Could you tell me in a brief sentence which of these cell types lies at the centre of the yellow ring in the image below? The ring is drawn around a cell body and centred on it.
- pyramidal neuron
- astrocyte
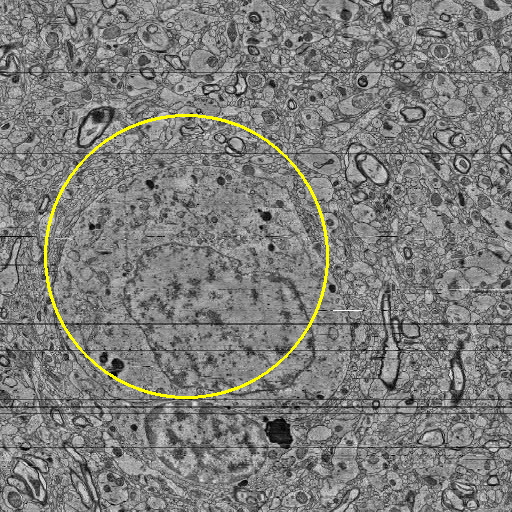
The cell centred in the ring is a pyramidal neuron.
